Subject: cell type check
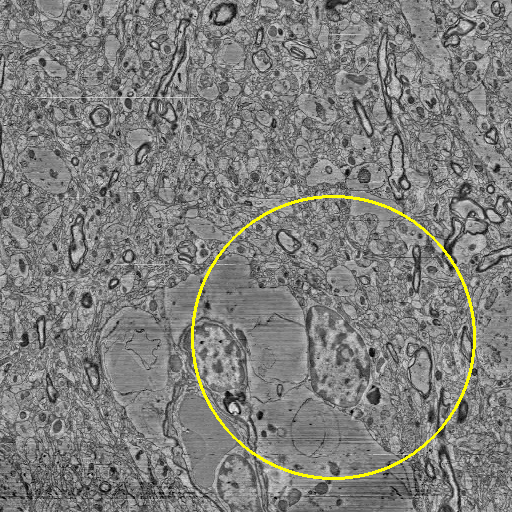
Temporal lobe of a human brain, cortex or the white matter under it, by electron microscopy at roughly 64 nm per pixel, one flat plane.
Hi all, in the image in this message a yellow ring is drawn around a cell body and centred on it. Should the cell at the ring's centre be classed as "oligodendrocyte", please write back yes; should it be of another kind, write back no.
no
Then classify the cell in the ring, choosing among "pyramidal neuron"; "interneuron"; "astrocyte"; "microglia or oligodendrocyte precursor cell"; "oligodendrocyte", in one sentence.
It is a microglial cell or oligodendrocyte precursor cell at the centre of the ring.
